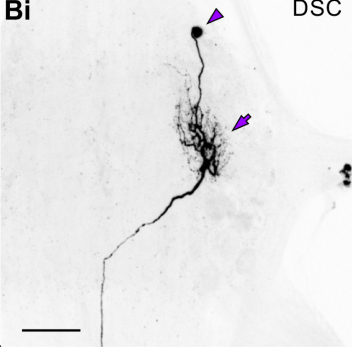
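This is a single nerve cell in a ganglion, filled so that its whole shape stands out dark against the pale tissue. Near the top lies the round cell body, the soma, from which one thin neurite runs downward. Below it the neurite gives rise to a dense bush of fine, twisting dendritic branches within a neuropil region. From this branched field a single smooth, thicker process leaves and runs down and away toward the lower left, the axon. Around the neuron the ganglion itself is only faintly visible as a pale outline.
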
